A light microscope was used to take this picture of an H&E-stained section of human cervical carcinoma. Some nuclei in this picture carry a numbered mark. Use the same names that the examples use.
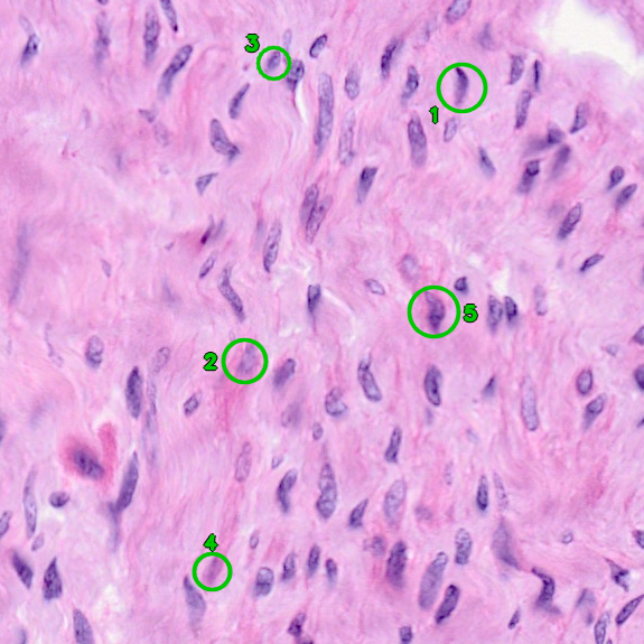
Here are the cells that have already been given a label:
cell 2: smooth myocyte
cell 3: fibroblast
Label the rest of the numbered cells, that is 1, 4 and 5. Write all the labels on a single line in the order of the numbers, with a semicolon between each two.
fibroblast; smooth myocyte; smooth myocyte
